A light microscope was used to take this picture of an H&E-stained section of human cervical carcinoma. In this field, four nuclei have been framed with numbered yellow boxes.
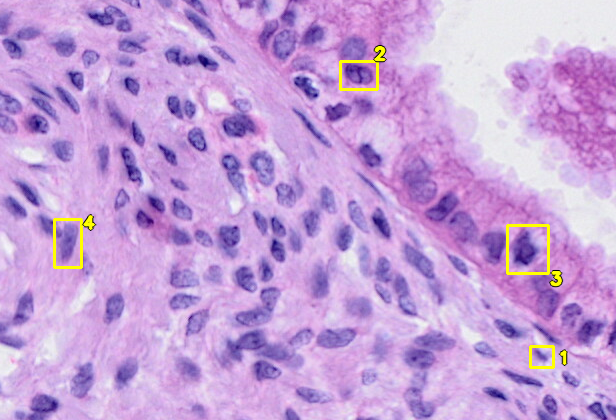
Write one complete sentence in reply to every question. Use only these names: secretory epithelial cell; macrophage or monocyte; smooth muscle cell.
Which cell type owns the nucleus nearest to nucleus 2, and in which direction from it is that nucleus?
The nearest one is a secretory epithelial cell, found above nucleus 2.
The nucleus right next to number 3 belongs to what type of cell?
It is a secretory epithelial cell whose nucleus is nearest to number 3.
